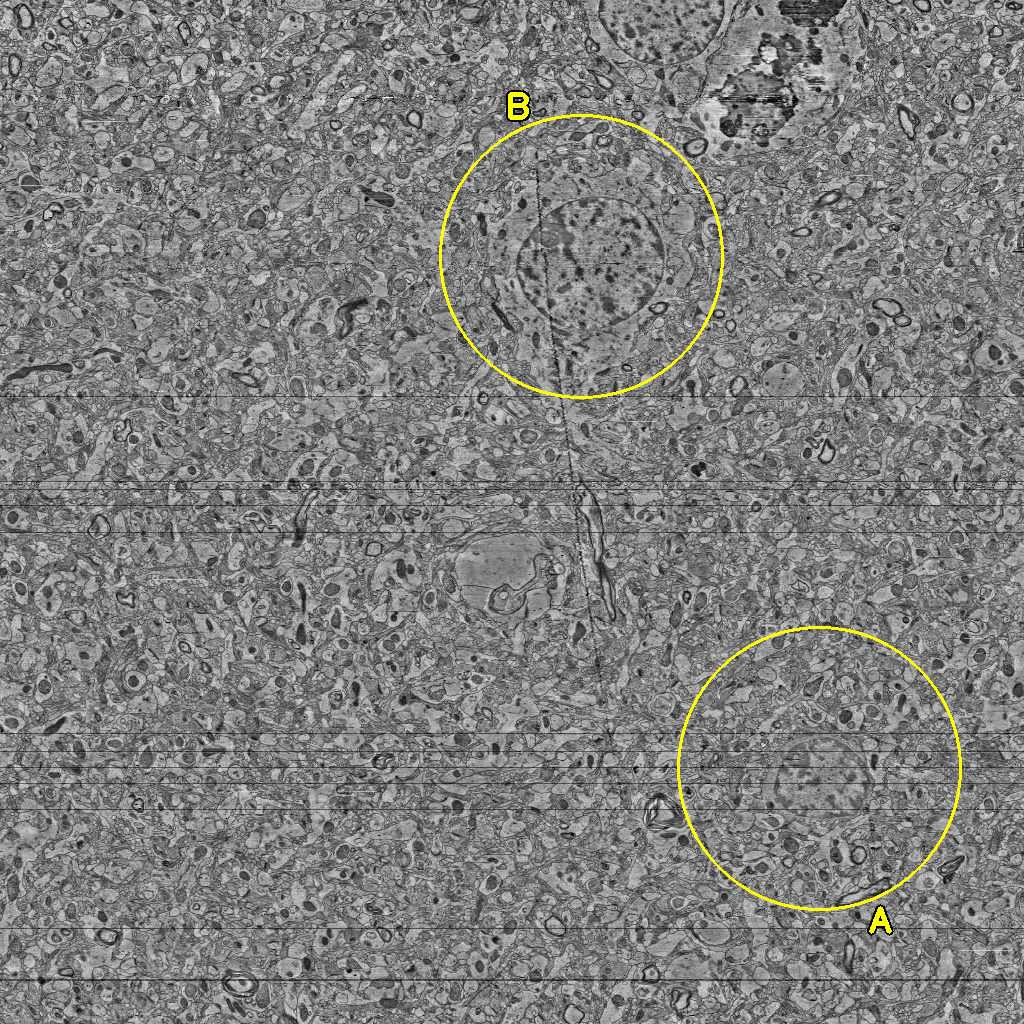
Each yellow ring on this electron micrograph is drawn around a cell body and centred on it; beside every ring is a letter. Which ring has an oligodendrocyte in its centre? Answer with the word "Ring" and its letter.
Ring A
